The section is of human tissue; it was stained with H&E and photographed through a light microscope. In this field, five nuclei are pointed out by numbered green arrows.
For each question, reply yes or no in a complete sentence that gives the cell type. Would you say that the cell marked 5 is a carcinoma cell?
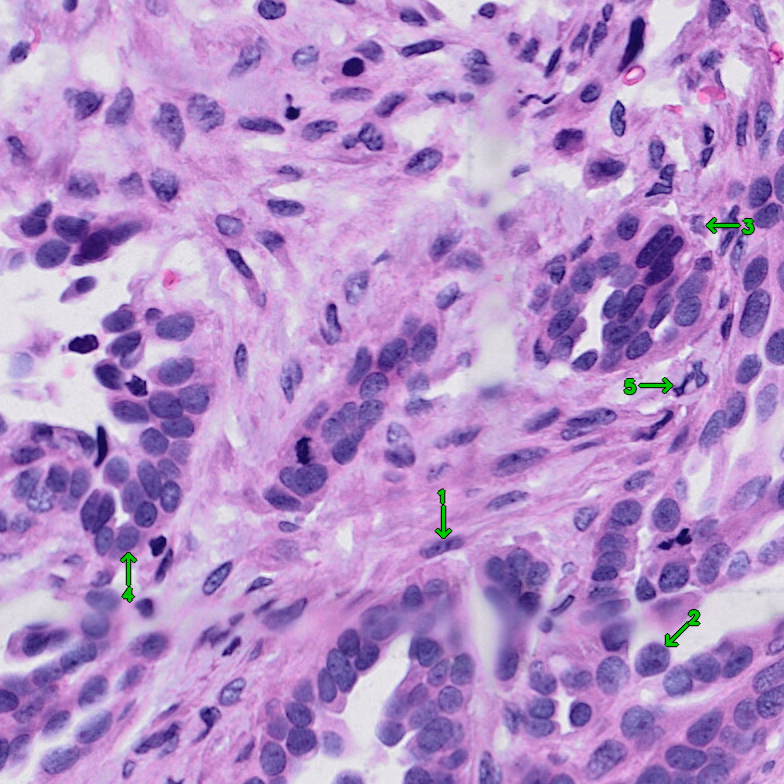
No, cell 5, which is a fibroblast, is not a carcinoma cell.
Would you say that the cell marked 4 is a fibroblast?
No, the cell marked 4 is a carcinoma cell rather than a fibroblast.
